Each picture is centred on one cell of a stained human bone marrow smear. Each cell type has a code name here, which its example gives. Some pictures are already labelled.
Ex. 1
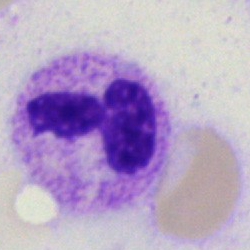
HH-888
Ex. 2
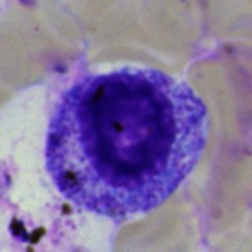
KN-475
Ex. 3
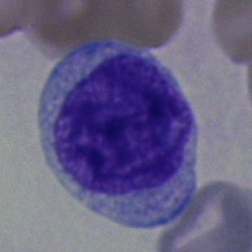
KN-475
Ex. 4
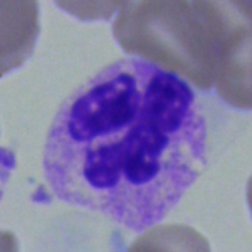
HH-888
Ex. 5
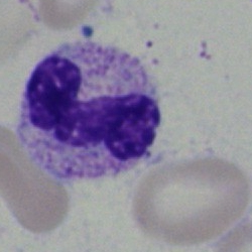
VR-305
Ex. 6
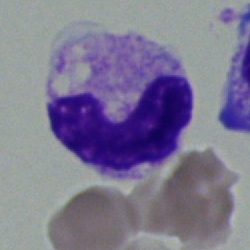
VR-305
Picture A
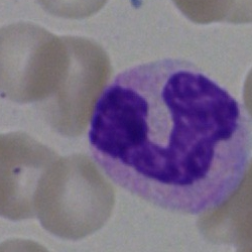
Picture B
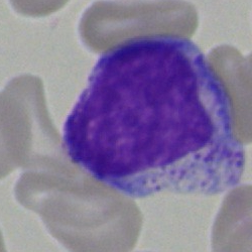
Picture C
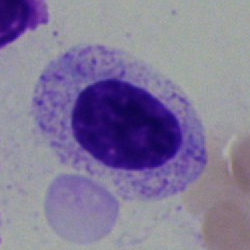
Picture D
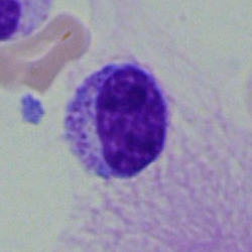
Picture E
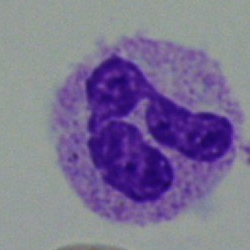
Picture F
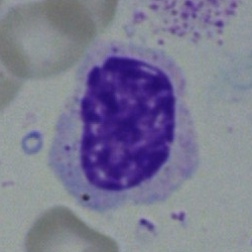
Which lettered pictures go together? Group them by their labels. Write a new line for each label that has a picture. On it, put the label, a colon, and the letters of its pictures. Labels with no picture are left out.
HH-888: E
KN-475: B, C, D, F
VR-305: A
